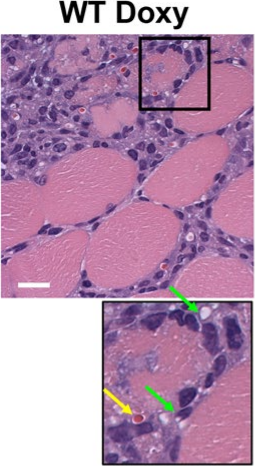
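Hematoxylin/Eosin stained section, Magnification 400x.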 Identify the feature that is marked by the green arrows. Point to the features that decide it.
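Capillaries. The arrows point to small empty lumens in the space between fibers.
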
